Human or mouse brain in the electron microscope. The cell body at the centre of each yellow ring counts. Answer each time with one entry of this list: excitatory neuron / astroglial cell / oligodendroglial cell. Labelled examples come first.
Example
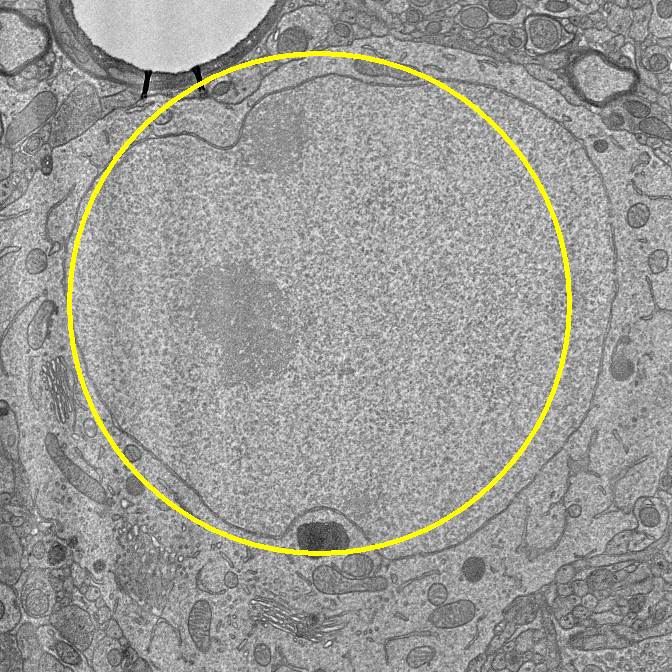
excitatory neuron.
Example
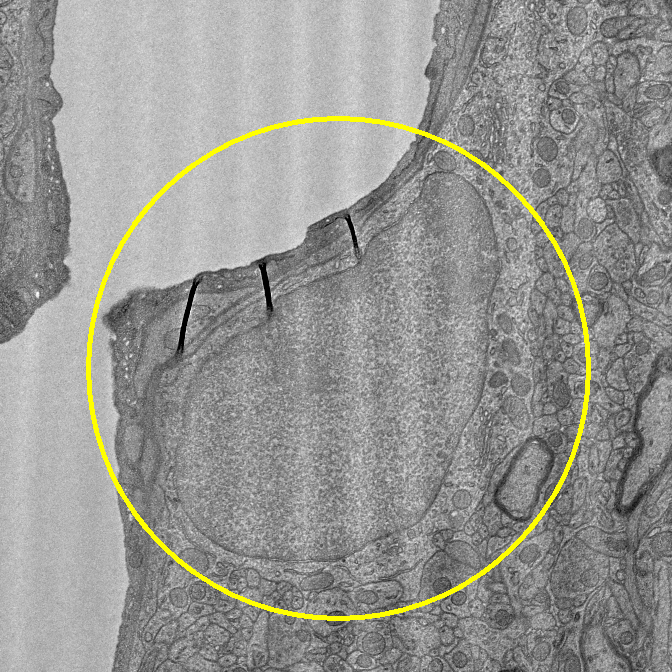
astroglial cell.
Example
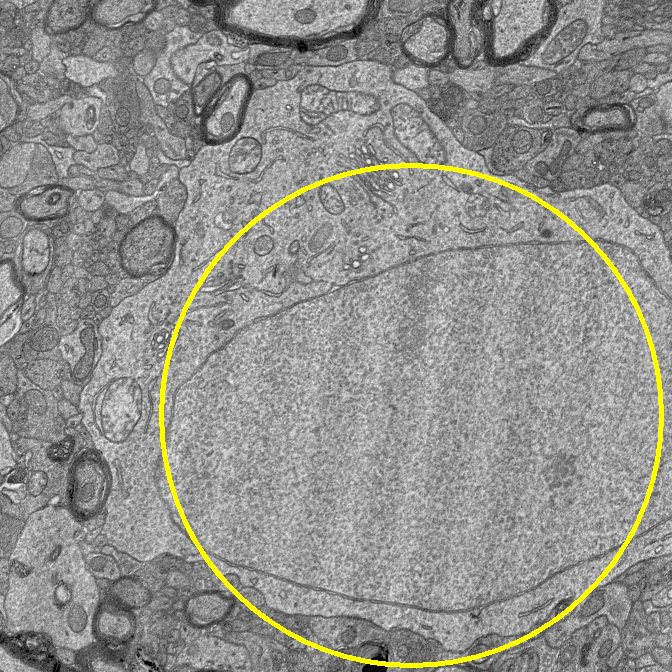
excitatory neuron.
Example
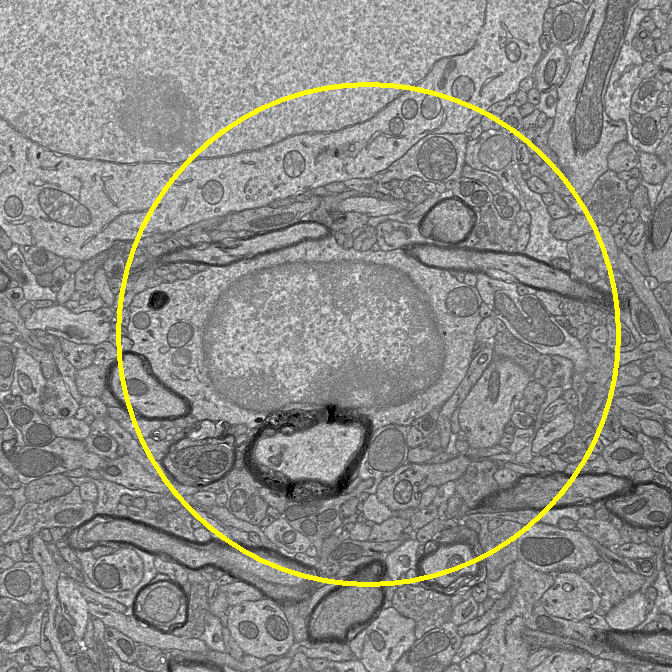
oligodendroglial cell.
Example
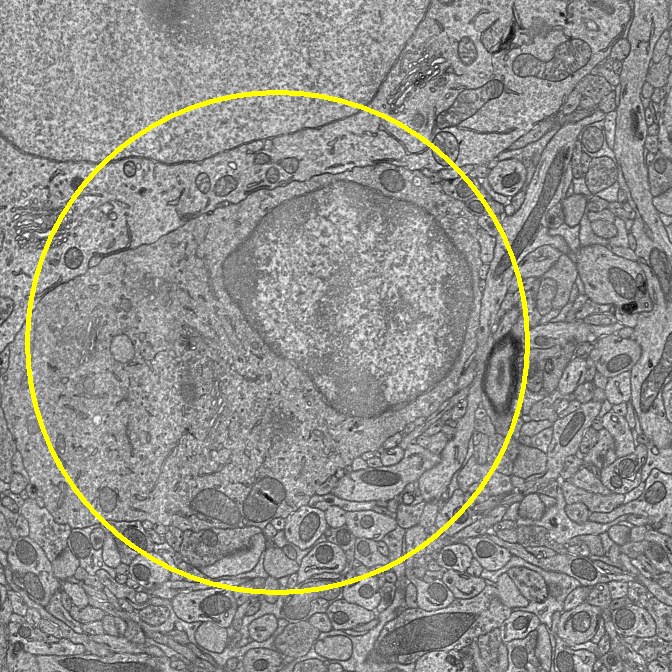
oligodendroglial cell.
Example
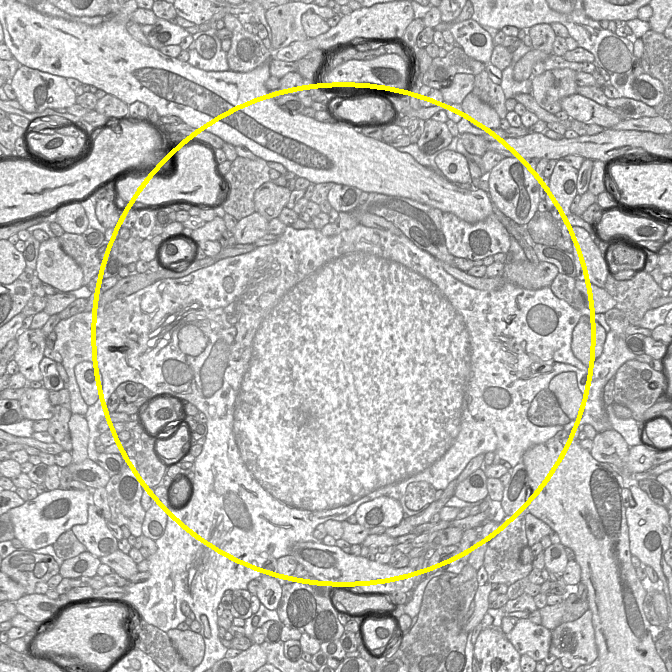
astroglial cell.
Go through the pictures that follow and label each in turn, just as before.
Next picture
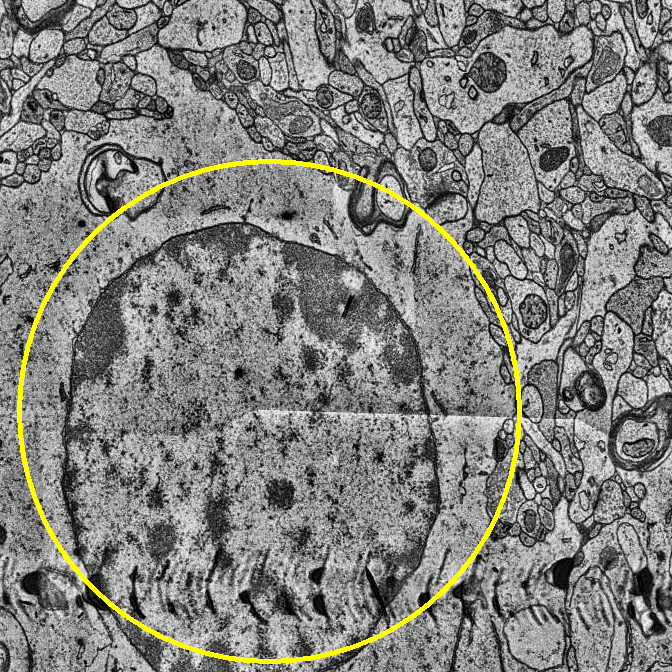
astroglial cell.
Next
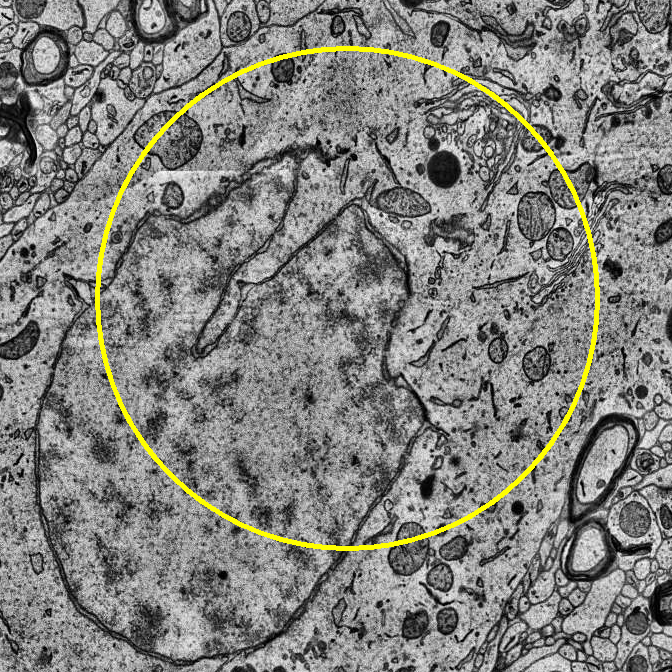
excitatory neuron.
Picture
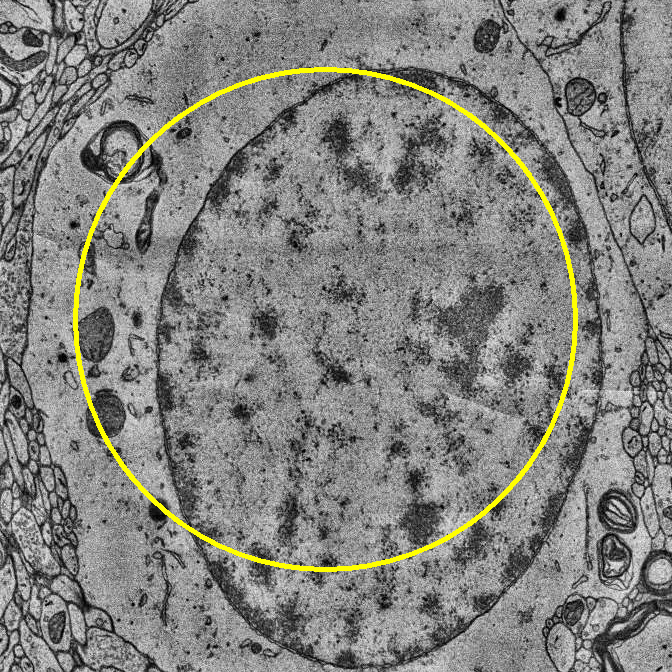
astroglial cell.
